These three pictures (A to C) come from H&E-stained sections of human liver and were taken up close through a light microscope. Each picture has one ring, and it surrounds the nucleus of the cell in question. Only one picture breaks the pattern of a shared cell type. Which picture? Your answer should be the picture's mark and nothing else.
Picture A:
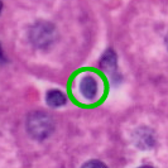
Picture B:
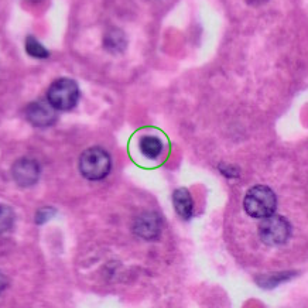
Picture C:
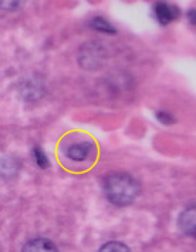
C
